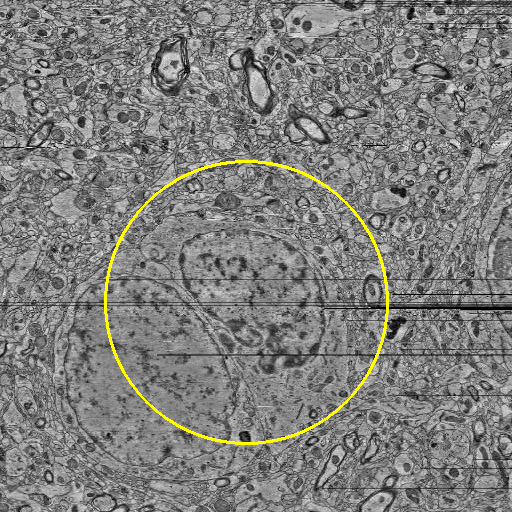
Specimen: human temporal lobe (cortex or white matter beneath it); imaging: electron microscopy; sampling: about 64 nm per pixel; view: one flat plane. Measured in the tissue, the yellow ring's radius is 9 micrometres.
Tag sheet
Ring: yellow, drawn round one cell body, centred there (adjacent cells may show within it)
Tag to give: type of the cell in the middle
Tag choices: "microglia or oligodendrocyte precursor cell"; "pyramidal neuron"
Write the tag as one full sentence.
I tag the cell centred in the yellow ring as a microglial cell or oligodendrocyte precursor cell in this picture.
